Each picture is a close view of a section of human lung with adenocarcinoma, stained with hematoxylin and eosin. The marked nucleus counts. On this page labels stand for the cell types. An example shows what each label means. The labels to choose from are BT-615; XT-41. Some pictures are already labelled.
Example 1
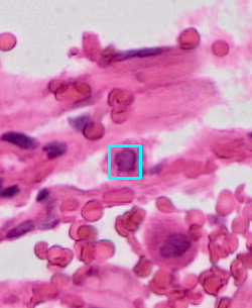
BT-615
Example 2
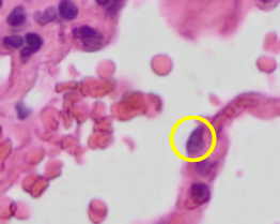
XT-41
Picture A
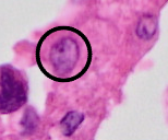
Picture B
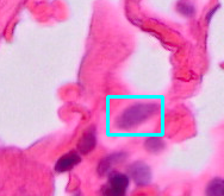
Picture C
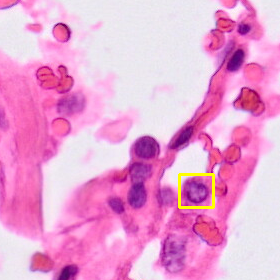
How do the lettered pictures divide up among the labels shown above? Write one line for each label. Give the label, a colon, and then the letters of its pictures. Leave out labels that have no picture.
BT-615: A, C
XT-41: B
